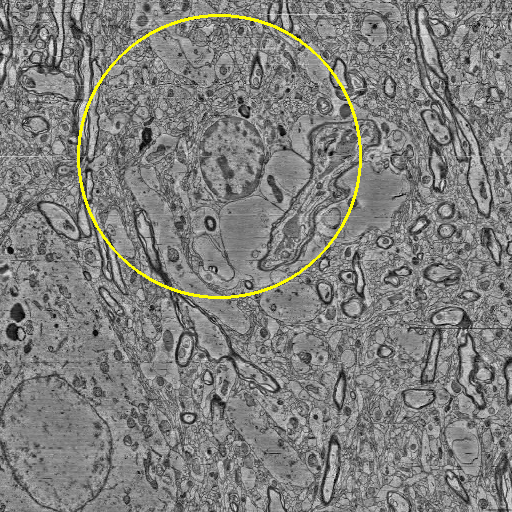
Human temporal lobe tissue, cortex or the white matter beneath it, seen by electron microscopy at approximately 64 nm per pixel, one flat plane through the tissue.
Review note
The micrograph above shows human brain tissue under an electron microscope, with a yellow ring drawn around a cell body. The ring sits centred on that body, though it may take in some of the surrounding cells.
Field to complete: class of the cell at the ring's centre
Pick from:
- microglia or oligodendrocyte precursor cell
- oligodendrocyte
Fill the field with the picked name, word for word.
microglia or oligodendrocyte precursor cell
